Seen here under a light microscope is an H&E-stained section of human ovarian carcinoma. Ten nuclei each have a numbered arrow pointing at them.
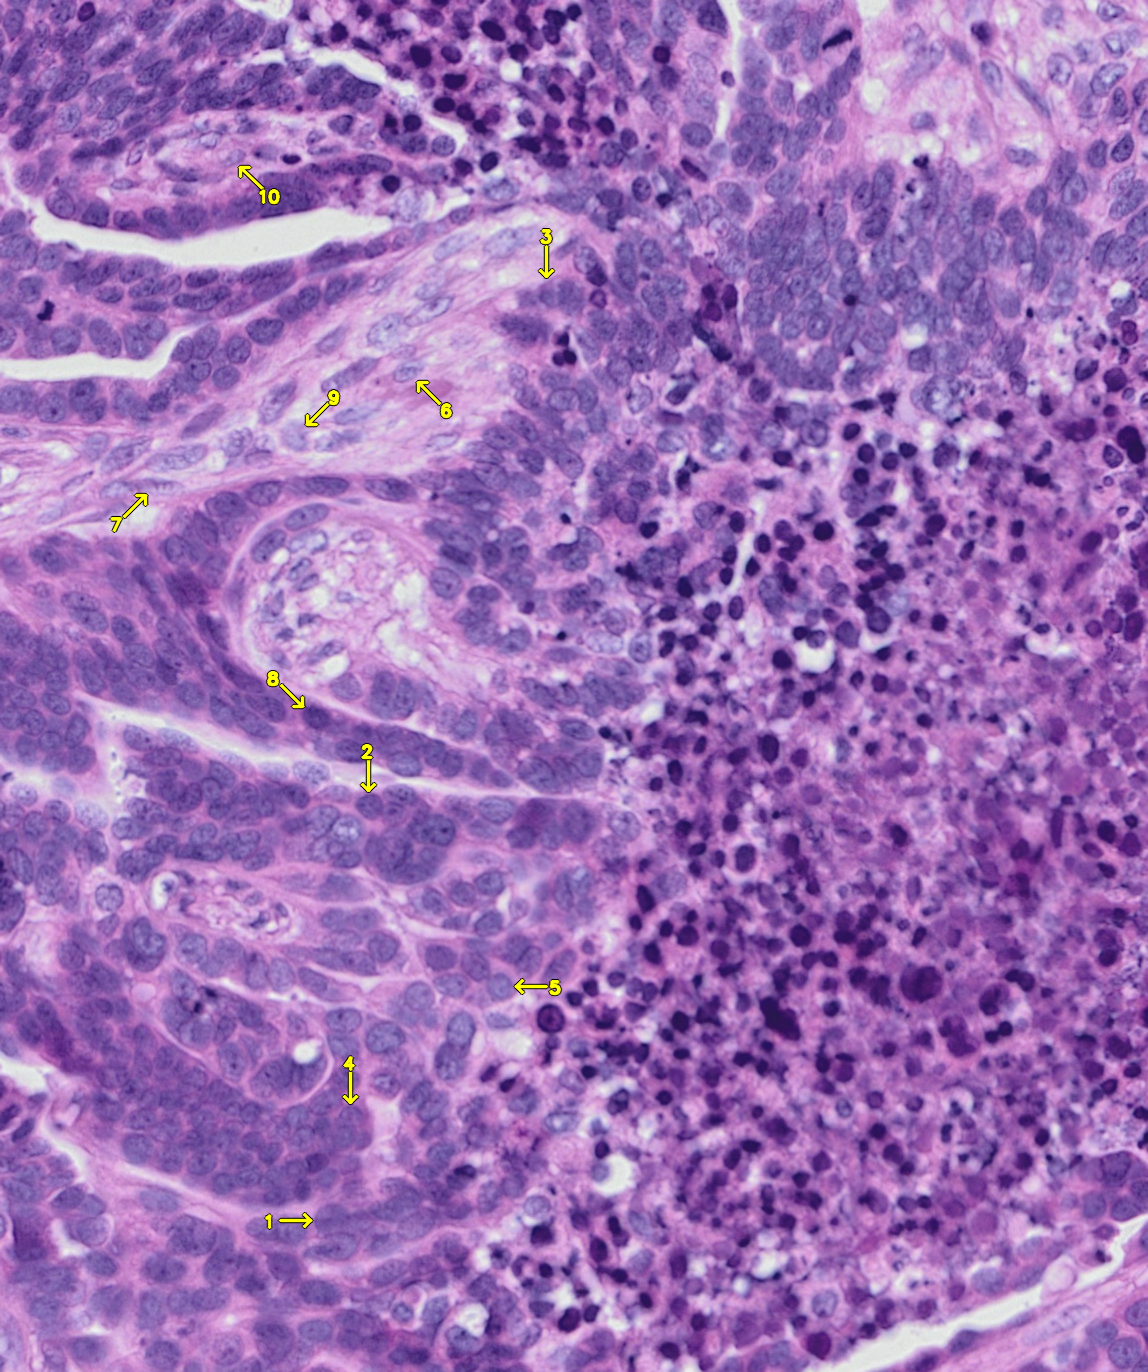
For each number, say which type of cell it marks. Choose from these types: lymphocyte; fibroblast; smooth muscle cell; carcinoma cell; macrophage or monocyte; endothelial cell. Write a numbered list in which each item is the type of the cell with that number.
1. carcinoma cell
2. carcinoma cell
3. carcinoma cell
4. carcinoma cell
5. carcinoma cell
6. fibroblast
7. fibroblast
8. carcinoma cell
9. fibroblast
10. fibroblast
